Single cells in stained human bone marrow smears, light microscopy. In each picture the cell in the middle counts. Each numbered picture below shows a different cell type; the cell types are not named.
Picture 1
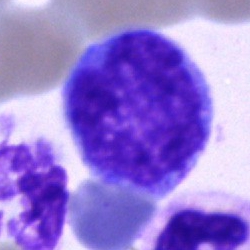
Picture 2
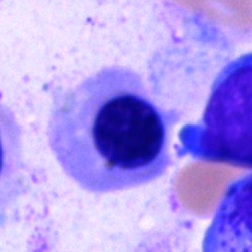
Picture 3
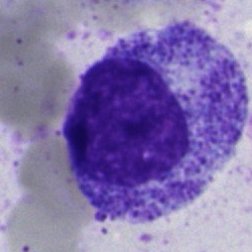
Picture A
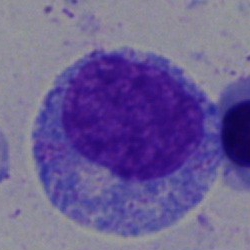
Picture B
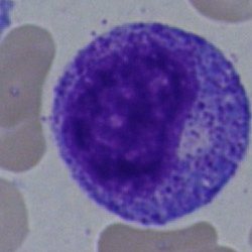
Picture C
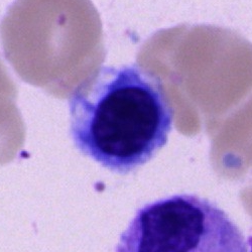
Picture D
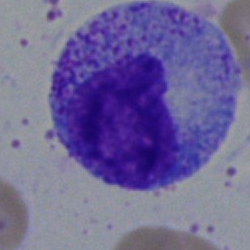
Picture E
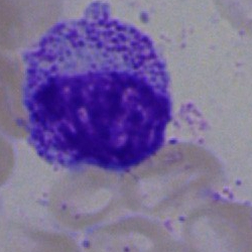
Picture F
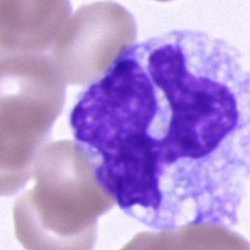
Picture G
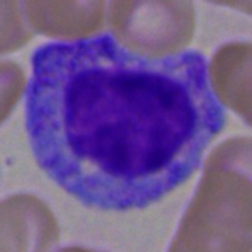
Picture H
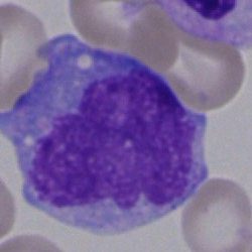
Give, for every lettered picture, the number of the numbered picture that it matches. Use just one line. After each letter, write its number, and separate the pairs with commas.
A 3, B 3, C 2, D 3, E 3, F 1, G 3, H 1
